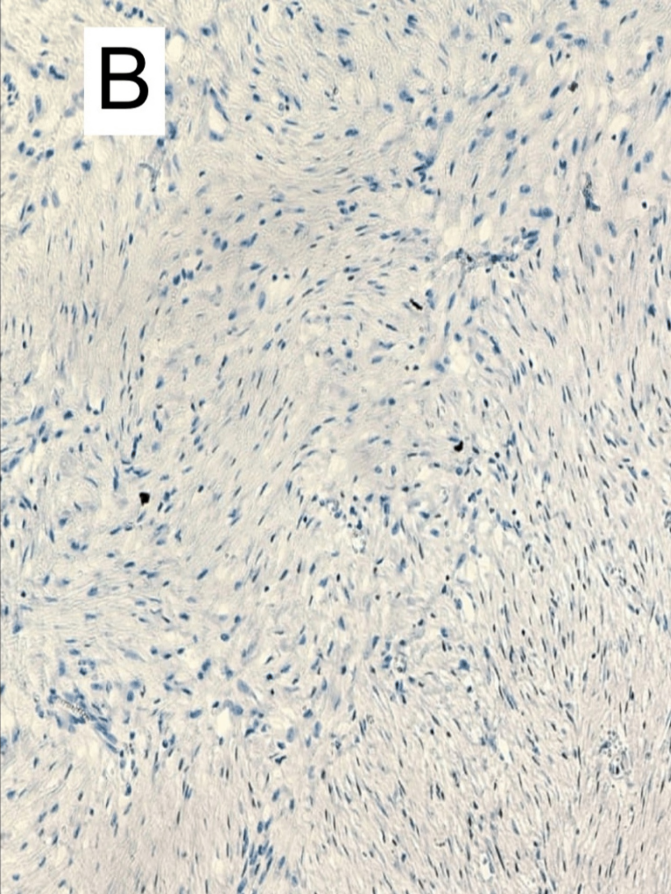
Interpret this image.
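This is a tumor of loosely arranged spindle cells with elongated to oval, blue-counterstained nuclei set in a pale, faintly fibrillary background. The cells run in vague, swirling fascicles. The nuclei are fairly uniform, slender to plump, and somewhat irregularly spaced, with scant, indistinct cytoplasm. The tumor cells show no brown staining, and only a few tiny dark specks are scattered across the field. Small clear spaces are present between the cells in places. No organised layers or glandular structures are present.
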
